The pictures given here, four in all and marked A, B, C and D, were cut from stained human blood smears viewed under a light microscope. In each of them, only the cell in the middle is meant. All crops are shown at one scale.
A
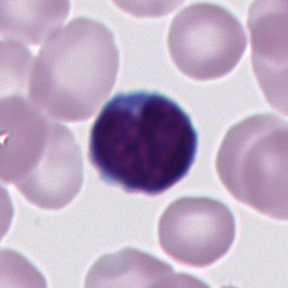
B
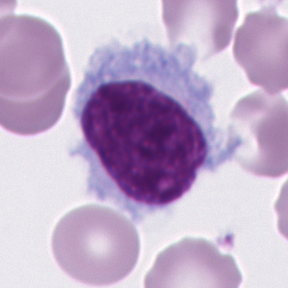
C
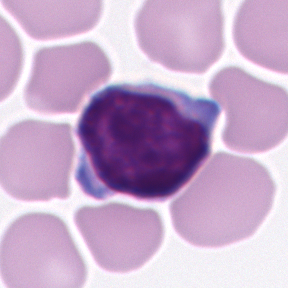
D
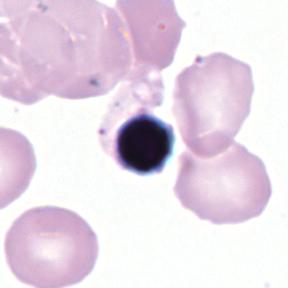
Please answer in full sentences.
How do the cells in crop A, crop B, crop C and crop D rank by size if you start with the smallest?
Smallest first: D, A, C, B.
